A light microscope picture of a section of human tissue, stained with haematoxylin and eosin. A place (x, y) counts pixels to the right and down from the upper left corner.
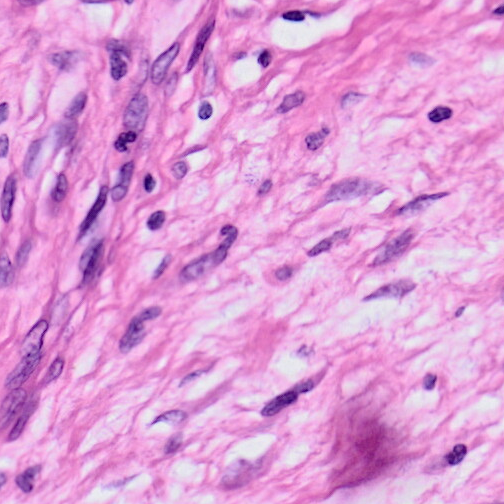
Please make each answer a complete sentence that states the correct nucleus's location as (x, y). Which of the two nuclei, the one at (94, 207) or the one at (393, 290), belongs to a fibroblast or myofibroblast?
The nucleus at (393, 290) belongs to a fibroblast or myofibroblast, which distinguishes it from the other nucleus.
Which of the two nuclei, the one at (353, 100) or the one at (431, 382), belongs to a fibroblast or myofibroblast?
It is the nucleus at (353, 100) that forms part of a fibroblast or myofibroblast.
